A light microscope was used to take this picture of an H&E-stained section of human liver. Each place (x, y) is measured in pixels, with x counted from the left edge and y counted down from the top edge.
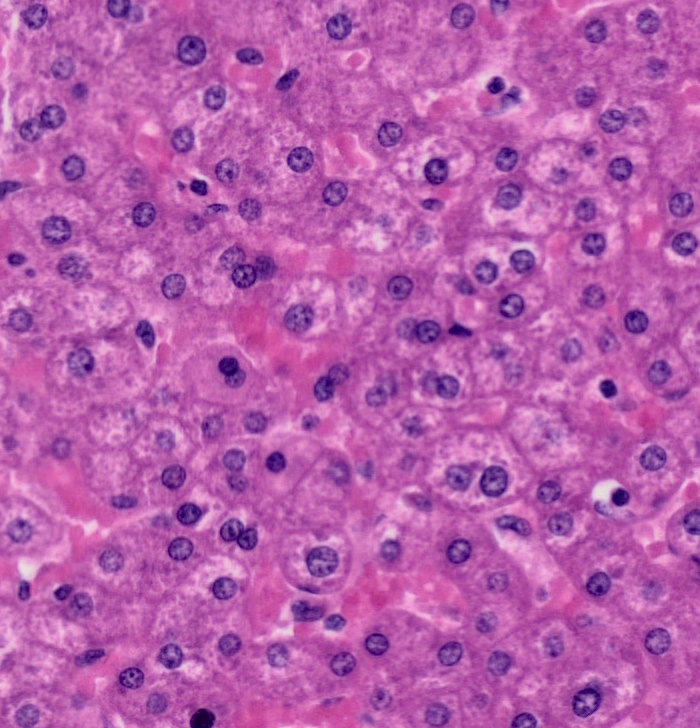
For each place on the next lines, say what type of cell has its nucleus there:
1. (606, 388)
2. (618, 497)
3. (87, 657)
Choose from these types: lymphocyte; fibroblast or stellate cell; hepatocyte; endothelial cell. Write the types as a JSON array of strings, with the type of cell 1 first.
["lymphocyte", "lymphocyte", "endothelial cell"]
